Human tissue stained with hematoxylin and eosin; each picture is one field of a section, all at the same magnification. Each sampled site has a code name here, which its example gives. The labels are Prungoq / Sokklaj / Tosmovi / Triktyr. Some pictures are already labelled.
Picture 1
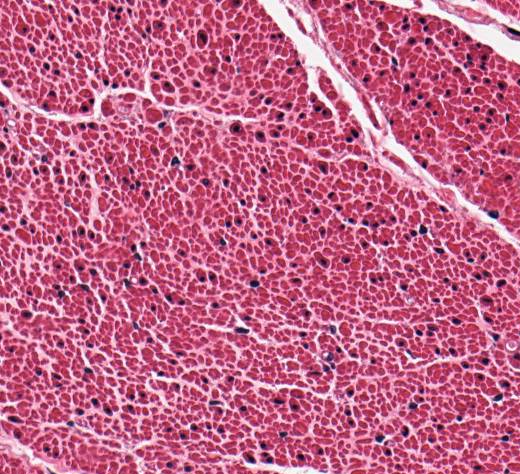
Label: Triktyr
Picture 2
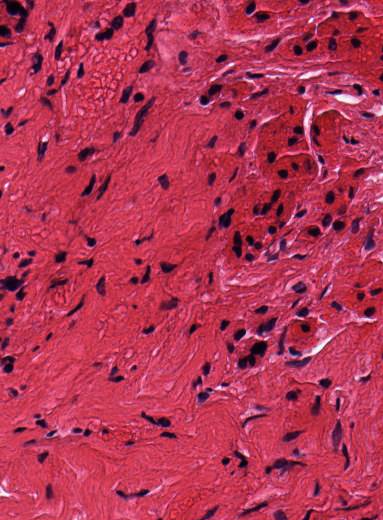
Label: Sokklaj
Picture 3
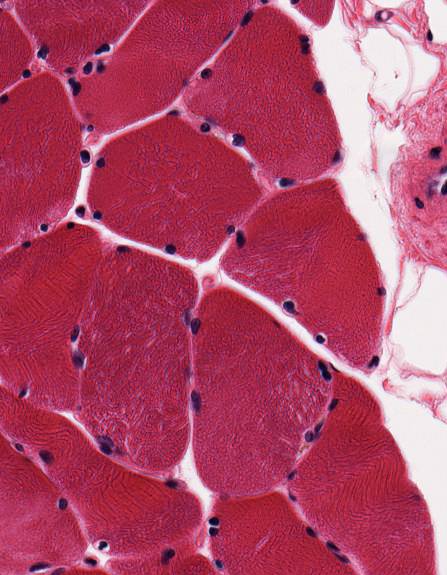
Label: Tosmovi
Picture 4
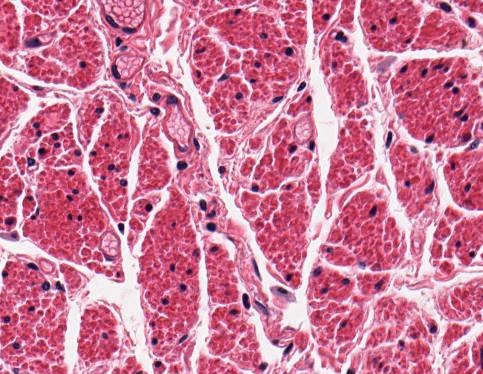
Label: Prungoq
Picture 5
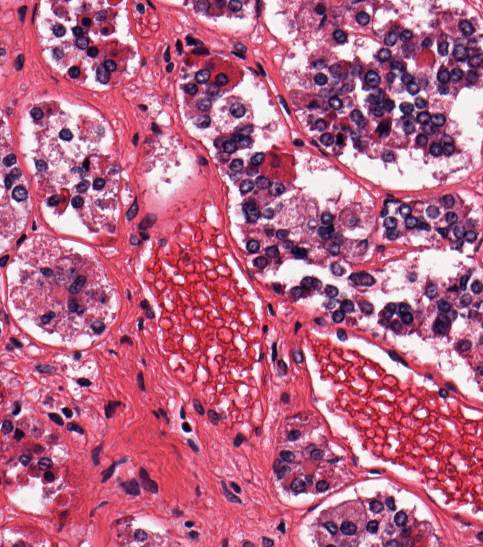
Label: Sokklaj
